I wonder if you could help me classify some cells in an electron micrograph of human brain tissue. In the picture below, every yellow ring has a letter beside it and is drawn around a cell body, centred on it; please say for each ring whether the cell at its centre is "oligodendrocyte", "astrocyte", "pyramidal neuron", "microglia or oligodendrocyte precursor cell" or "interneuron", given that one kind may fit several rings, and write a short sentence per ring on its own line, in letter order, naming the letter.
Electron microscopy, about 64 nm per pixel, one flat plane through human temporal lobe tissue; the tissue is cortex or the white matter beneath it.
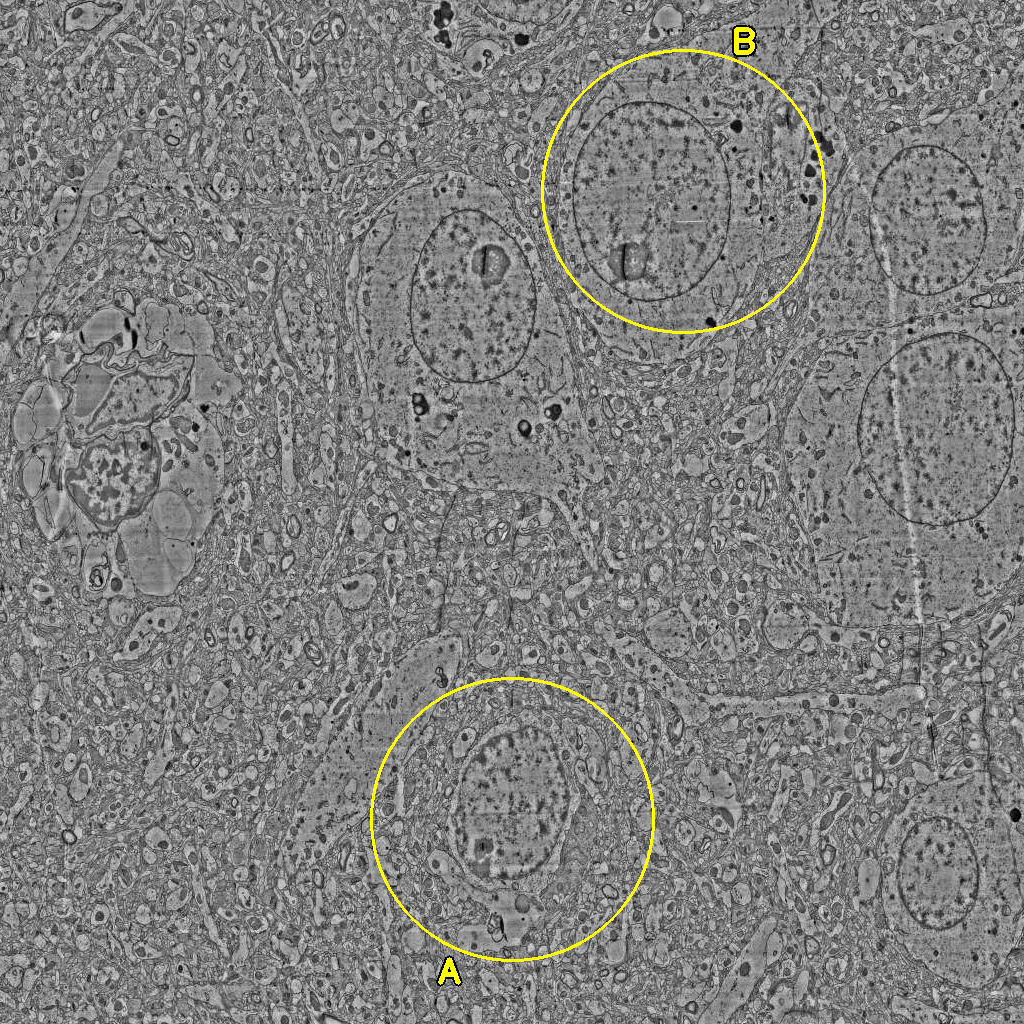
Centred in ring A is an interneuron.
Centred in ring B is a pyramidal neuron.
